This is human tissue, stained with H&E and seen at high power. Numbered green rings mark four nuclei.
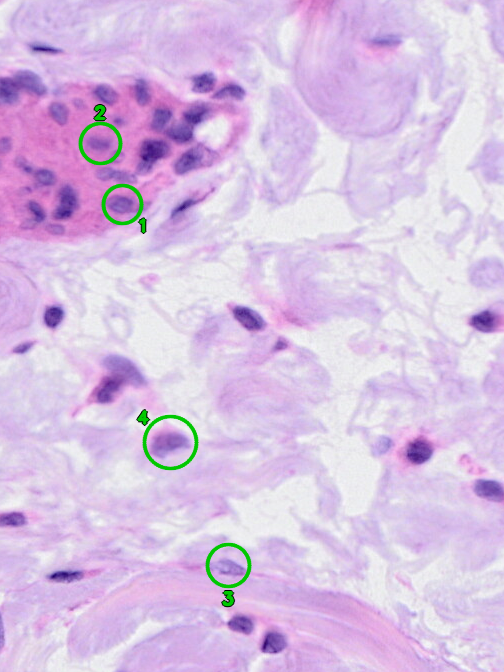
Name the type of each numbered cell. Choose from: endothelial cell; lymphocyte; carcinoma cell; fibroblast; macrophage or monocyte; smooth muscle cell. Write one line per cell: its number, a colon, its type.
1: smooth muscle cell
2: smooth muscle cell
3: fibroblast
4: fibroblast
